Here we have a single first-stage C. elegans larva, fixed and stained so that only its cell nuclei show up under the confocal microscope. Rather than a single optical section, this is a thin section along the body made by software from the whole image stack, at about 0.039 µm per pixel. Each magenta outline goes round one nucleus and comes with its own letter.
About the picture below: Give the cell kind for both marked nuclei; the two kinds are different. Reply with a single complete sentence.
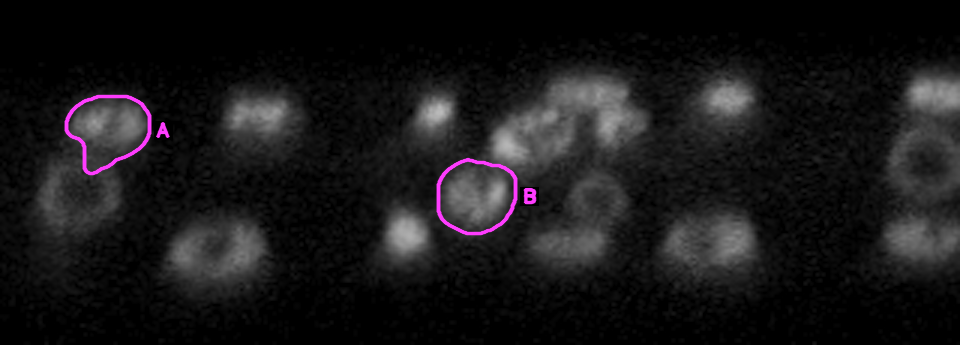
Nucleus A comes from a P cell (ventral epidermal blast cell) and nucleus B from a germ line precursor.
